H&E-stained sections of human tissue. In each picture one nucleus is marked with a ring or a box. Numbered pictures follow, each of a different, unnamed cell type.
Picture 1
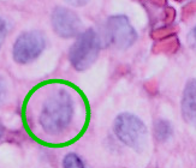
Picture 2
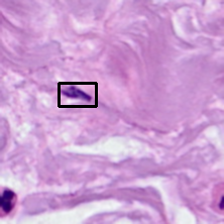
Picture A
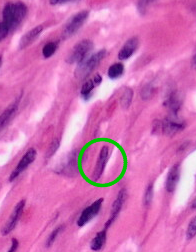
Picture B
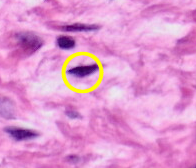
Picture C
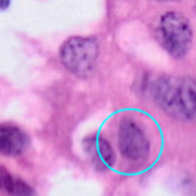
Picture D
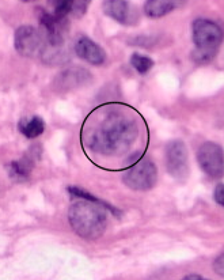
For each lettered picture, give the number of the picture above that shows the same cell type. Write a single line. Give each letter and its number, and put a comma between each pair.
A 2, B 2, C 1, D 1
